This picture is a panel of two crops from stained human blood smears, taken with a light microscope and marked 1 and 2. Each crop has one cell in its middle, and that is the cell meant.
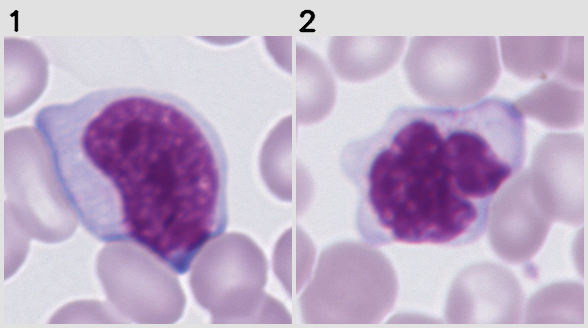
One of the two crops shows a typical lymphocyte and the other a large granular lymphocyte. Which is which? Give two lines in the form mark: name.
1: typical lymphocyte
2: large granular lymphocyte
